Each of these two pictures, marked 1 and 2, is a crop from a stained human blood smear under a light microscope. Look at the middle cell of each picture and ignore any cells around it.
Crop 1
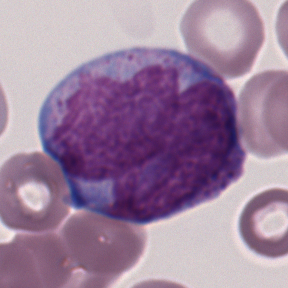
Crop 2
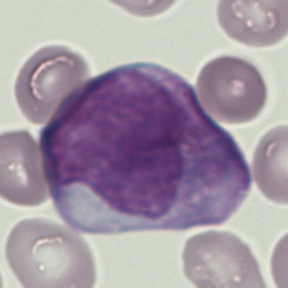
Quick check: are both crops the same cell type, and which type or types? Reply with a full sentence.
Yes, the central cells of both crops are atypical promyelocytes.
